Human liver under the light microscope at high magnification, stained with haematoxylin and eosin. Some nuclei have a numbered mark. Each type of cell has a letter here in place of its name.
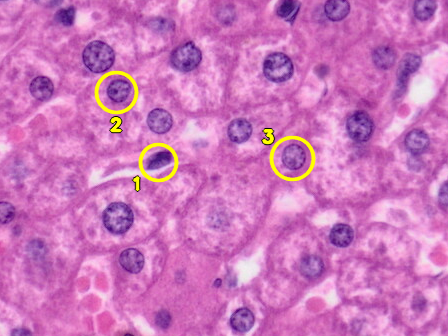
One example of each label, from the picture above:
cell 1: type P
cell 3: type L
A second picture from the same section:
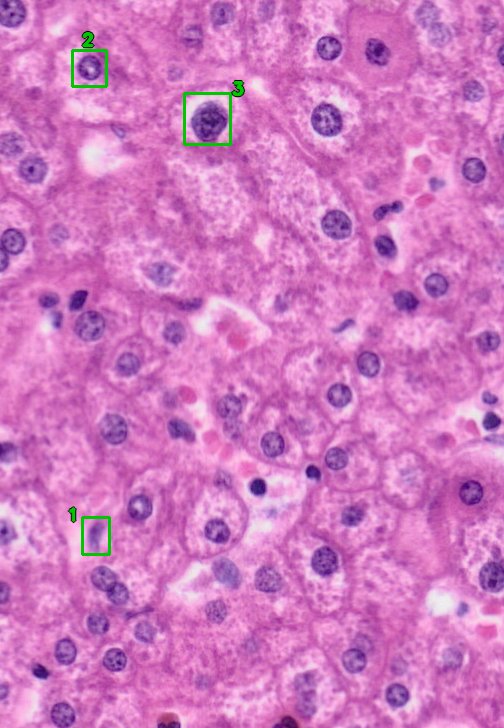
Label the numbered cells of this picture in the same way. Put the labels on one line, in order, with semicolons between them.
type P; type L; type L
